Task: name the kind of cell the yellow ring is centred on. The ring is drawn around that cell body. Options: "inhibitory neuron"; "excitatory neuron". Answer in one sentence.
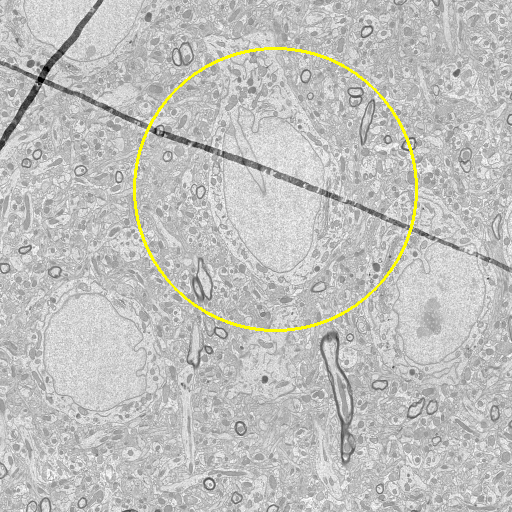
This cell body belongs to an inhibitory neuron.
